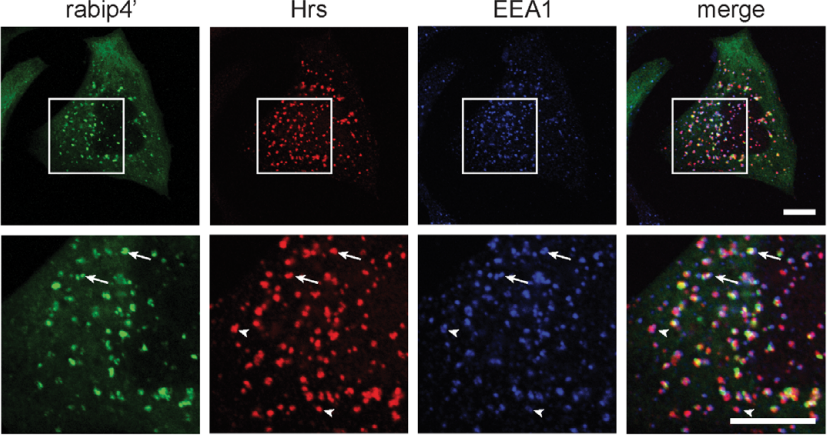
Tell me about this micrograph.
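These fluorescence images show a cultured cell whose cytoplasm is filled with many small round endosomes, seen separately in green, red and blue and merged. The green channel also shows a faint diffuse background throughout the cell body. Many of the puncta appear in all three colours and look white to yellow in the merge, especially in the central part of the cell. Some red and blue puncta lack green. The enlarged lower row shows the individual endosomes as discrete round dots of varying size.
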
